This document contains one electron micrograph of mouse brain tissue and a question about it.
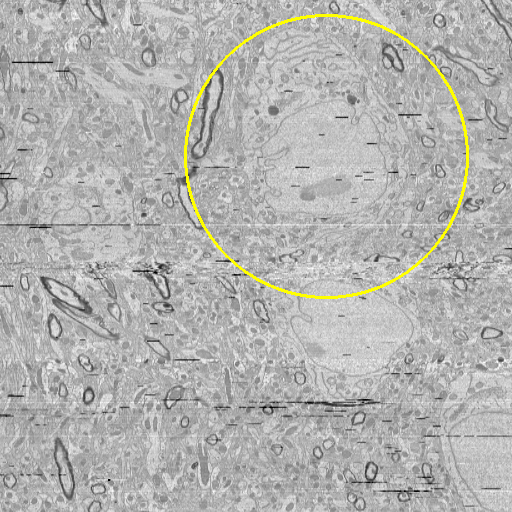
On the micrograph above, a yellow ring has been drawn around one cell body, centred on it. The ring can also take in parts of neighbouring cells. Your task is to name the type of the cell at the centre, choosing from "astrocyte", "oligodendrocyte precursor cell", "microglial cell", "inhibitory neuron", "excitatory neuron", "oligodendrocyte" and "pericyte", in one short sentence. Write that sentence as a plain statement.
Here the ring is centred on an inhibitory neuron.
